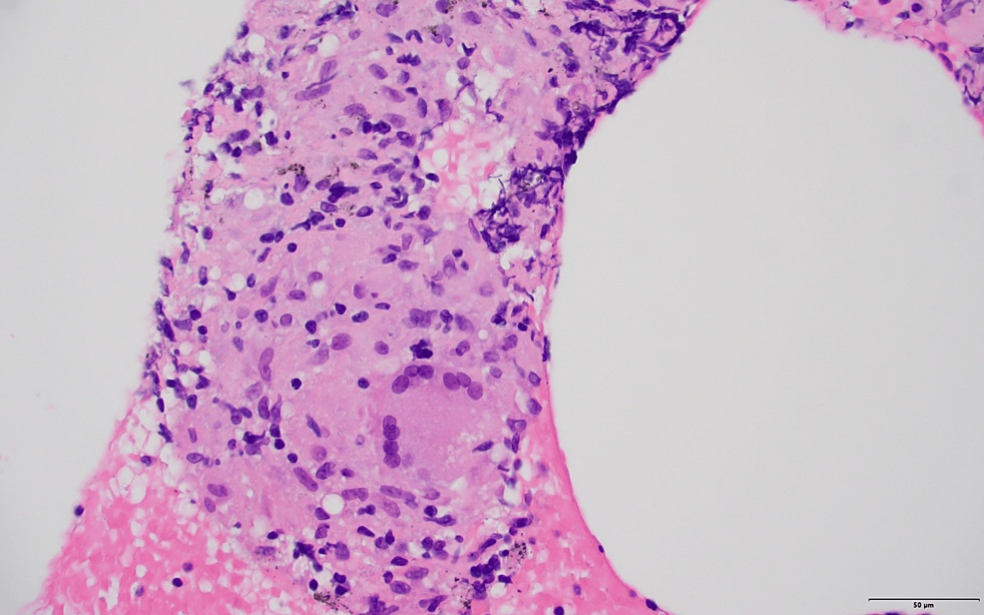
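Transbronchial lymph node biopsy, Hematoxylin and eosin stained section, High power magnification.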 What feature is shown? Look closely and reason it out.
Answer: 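A rounded, compact cluster of cells with pale pink cytoplasm and oval or elongated nuclei fills the middle of the tissue. Small dark round nuclei of lymphocytes gather around the cluster's edge. No structureless necrotic centre is seen within the cluster. On this evidence: non-necrotizing epithelioid granulomas.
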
